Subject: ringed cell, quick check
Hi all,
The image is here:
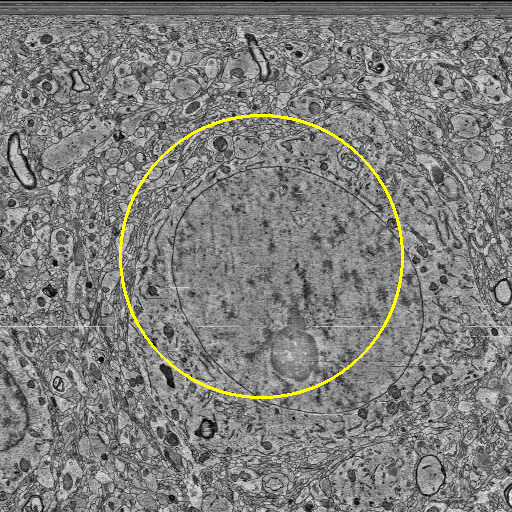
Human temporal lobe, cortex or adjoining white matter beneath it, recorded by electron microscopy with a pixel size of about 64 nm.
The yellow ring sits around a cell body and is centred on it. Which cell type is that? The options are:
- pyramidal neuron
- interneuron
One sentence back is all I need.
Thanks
That ringed cell is a pyramidal neuron.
